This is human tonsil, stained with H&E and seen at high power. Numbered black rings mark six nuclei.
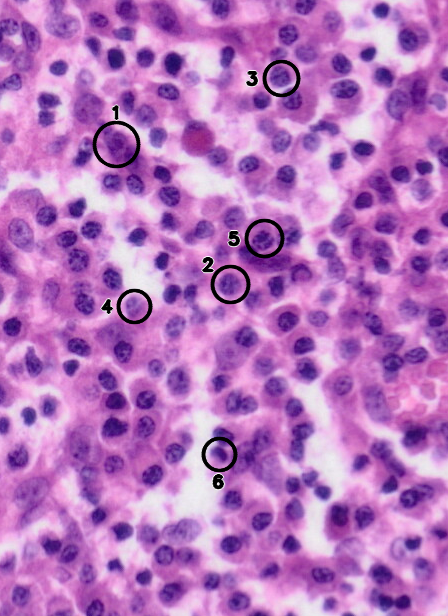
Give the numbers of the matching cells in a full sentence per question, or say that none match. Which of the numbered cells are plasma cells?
The cells tagged with numbers 2, 3, 4 and 5 are plasma cells.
